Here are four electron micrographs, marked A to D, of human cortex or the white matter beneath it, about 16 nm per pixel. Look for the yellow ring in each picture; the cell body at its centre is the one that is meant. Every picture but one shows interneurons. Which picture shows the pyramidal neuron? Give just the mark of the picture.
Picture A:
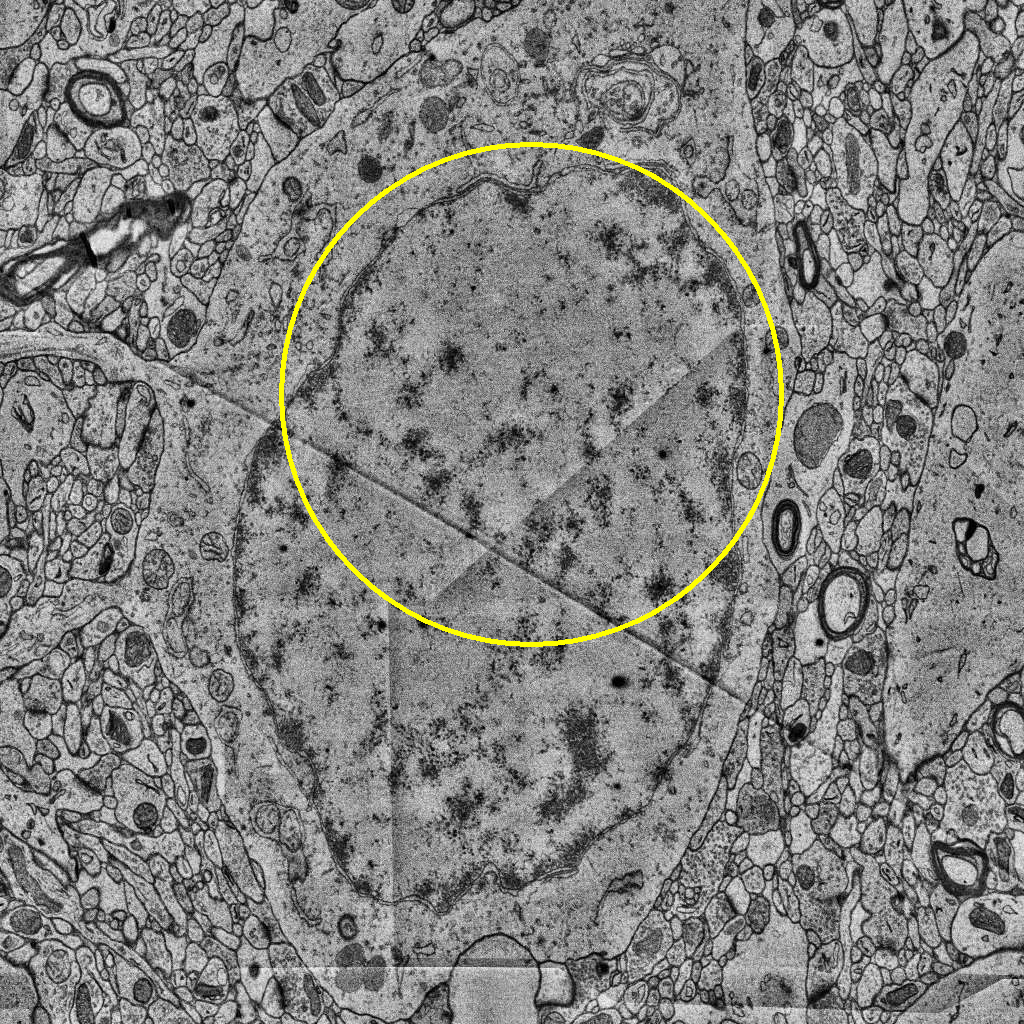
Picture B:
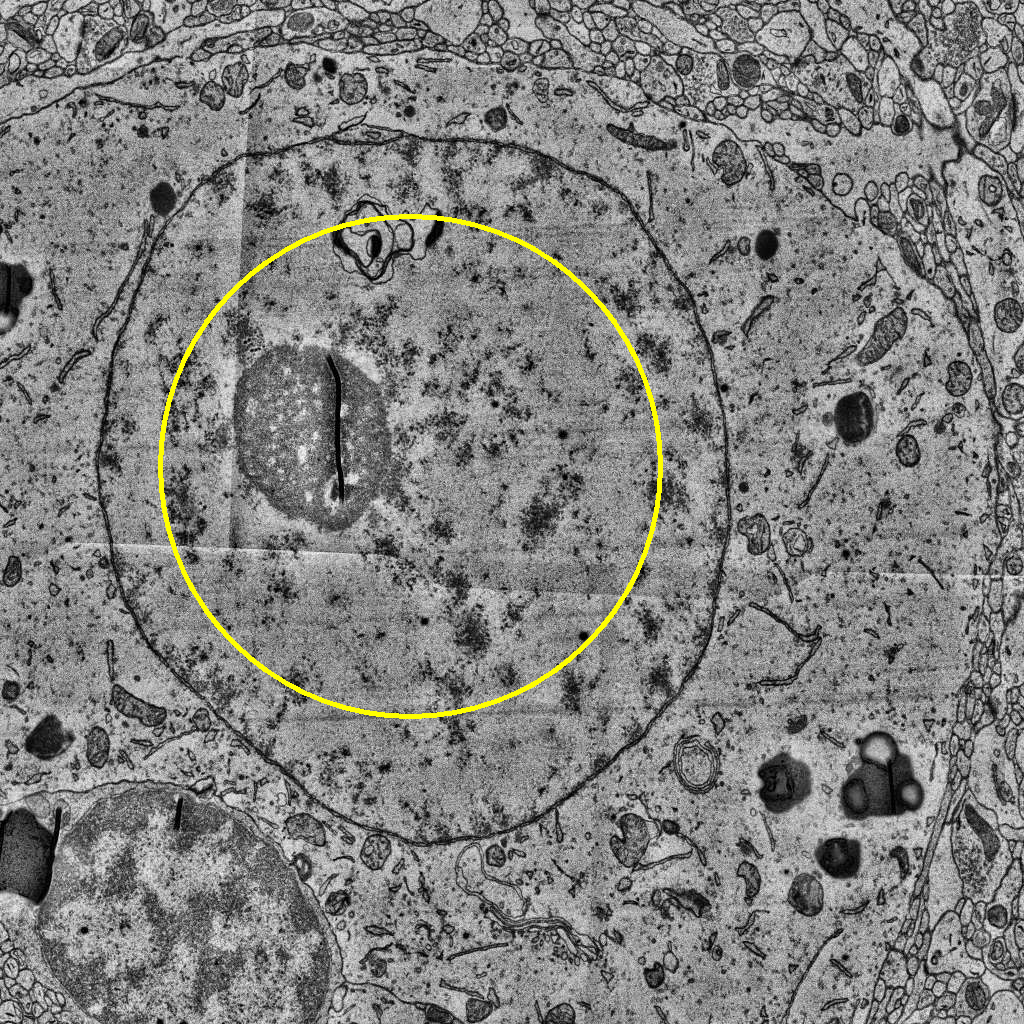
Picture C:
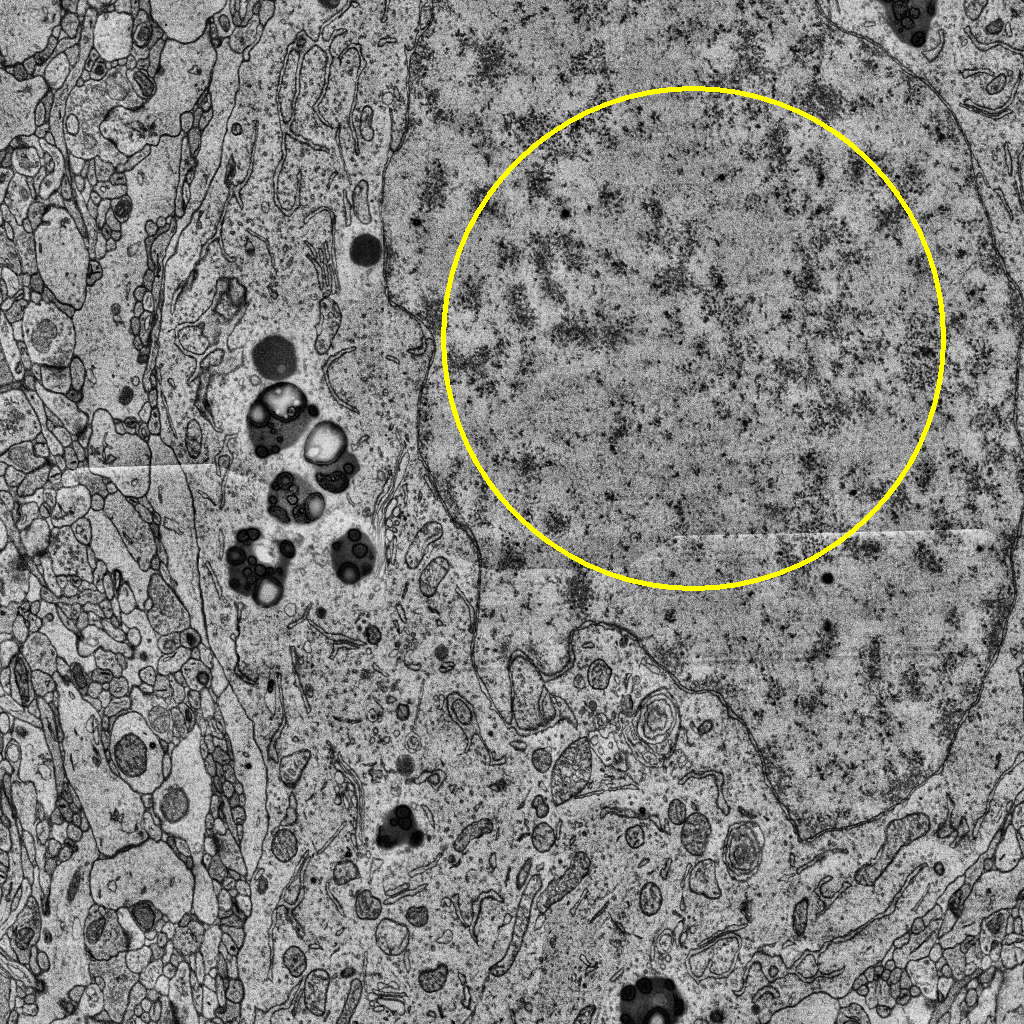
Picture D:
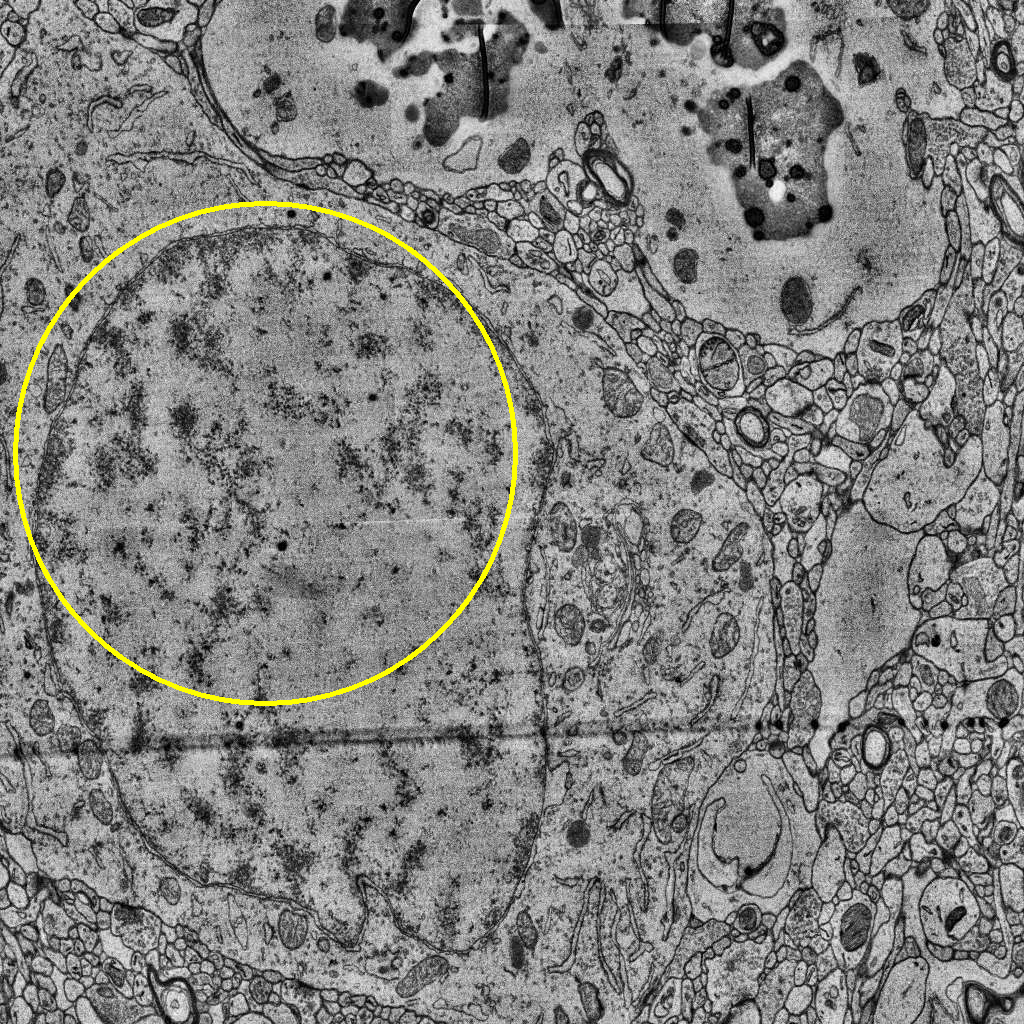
B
